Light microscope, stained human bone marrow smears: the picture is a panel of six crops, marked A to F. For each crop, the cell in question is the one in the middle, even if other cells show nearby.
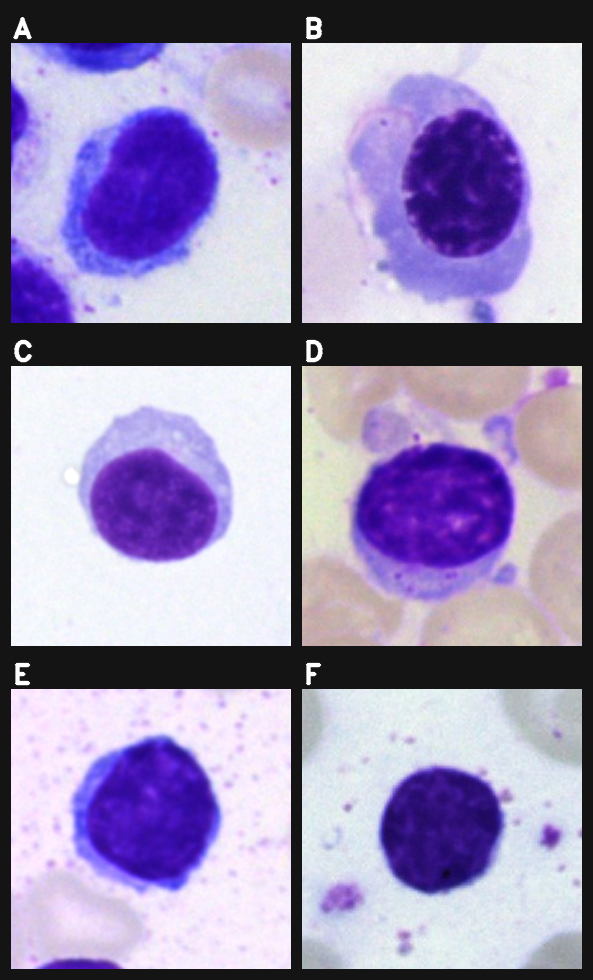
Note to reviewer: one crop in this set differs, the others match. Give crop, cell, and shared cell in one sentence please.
The different crop is crop B, a normoblast; all the others show lymphocytes.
